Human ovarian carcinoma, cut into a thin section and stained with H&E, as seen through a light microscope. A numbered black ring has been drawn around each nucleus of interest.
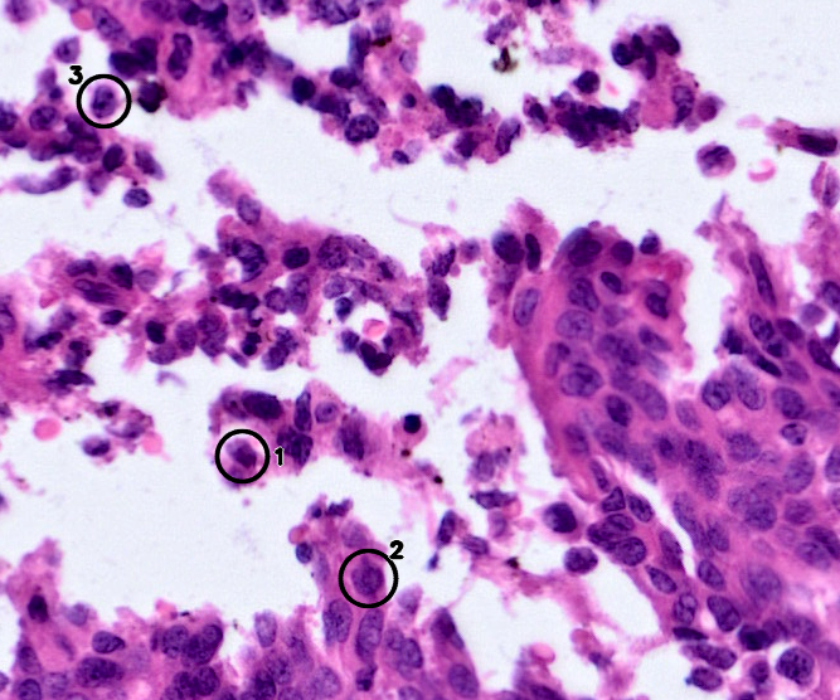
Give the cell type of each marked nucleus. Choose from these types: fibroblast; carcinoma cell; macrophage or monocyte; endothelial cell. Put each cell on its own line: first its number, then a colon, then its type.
1: macrophage or monocyte
2: carcinoma cell
3: macrophage or monocyte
